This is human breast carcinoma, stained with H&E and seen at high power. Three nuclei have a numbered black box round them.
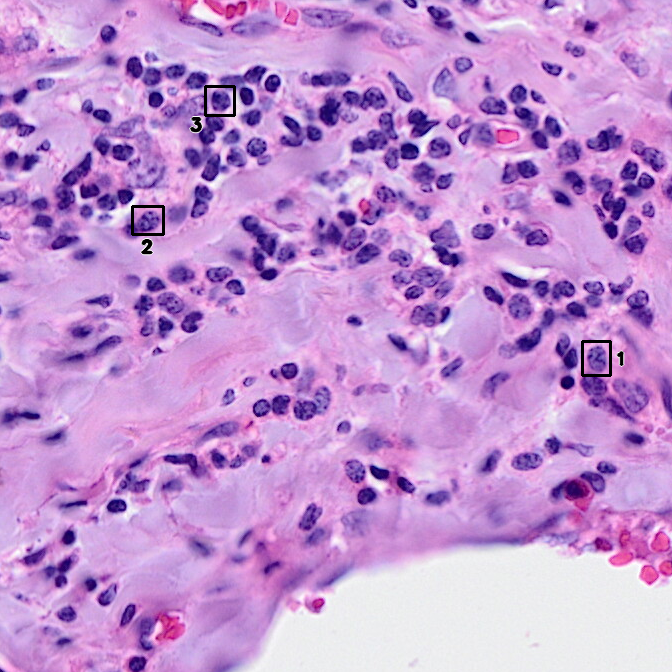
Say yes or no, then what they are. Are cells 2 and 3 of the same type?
No, not so; cell 2 is a mast cell and cell 3 is a lymphocyte.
